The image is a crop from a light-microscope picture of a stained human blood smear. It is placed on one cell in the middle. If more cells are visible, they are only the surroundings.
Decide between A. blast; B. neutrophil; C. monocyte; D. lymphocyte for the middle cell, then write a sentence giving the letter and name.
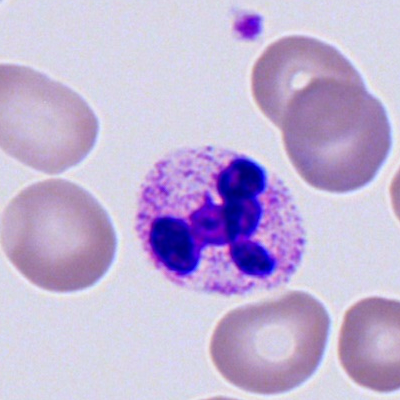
Option B is to be chosen, as the central cell is a neutrophil.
